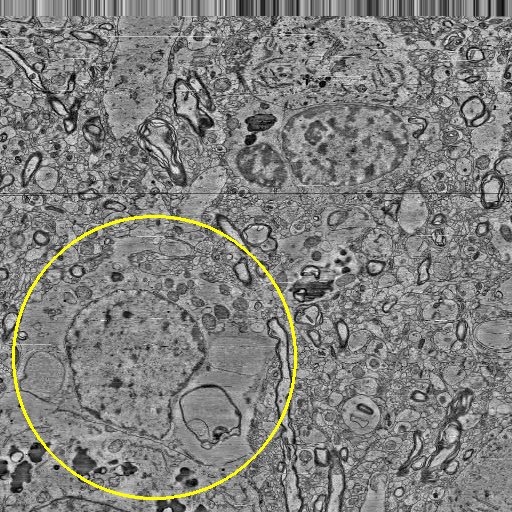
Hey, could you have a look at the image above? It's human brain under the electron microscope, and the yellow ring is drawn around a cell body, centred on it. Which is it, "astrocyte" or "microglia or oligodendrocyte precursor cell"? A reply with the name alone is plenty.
astrocyte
